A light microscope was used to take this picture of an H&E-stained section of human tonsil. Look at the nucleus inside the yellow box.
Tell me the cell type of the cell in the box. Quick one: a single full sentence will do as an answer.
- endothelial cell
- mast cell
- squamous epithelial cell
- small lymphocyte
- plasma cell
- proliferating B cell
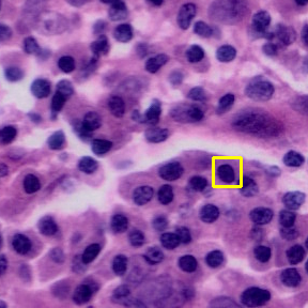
The cell type of the cell in the box is that of a plasma cell.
